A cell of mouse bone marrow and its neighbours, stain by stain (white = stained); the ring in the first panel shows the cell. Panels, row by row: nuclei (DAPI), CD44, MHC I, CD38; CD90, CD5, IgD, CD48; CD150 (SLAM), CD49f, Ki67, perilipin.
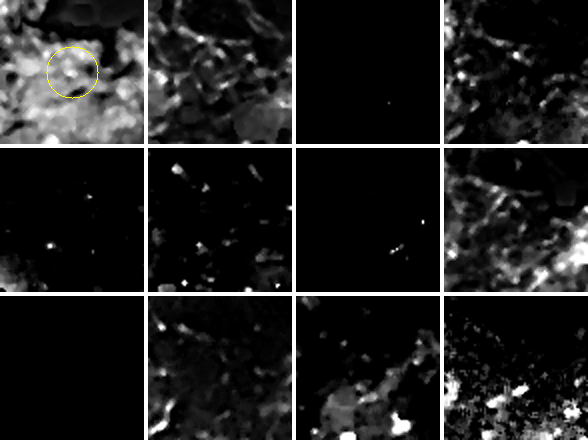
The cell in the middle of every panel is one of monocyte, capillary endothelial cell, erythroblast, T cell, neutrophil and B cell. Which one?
neutrophil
